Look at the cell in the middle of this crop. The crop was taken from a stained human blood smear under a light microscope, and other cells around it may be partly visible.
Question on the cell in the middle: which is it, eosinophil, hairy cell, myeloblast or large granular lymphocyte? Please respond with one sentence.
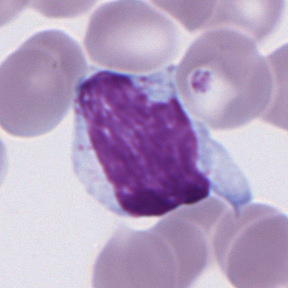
The crop centres on a single cell, and that cell is a large granular lymphocyte.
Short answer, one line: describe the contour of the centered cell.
An uneven margin is present, with either ragged stretches or outward projections.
